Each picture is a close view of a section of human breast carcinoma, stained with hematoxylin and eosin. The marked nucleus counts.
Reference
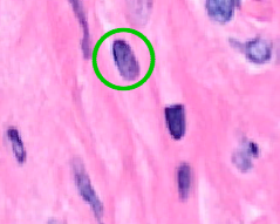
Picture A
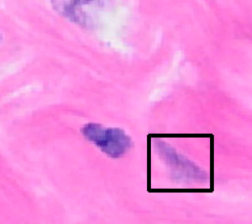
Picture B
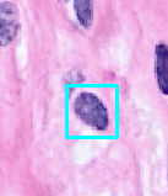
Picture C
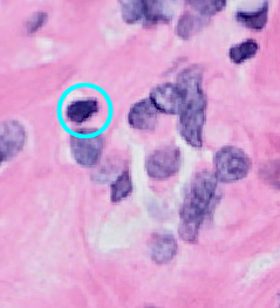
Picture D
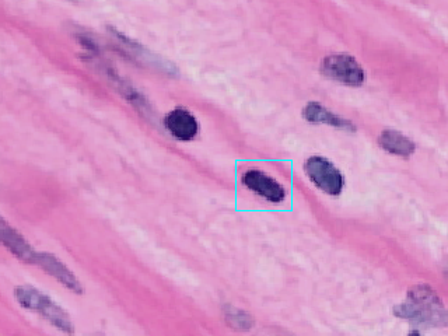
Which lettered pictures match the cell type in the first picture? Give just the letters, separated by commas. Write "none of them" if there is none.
B, C, D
